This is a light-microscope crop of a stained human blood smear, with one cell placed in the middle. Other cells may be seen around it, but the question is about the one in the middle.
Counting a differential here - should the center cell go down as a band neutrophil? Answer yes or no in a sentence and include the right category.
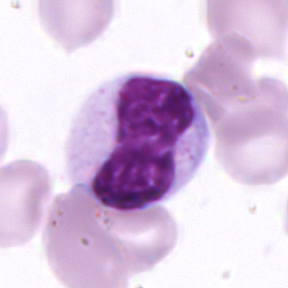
No, the central cell should be identified as a metamyelocyte, not as a band neutrophil.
